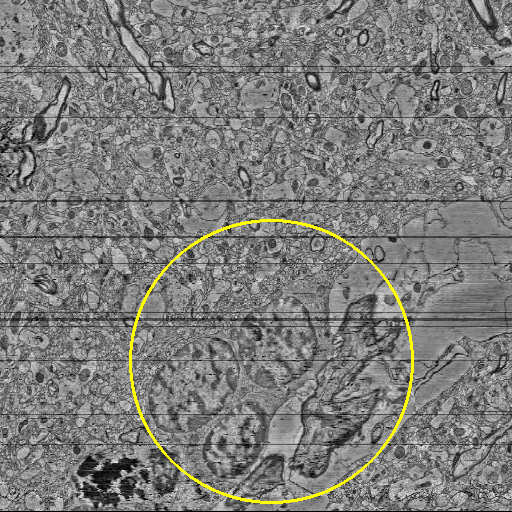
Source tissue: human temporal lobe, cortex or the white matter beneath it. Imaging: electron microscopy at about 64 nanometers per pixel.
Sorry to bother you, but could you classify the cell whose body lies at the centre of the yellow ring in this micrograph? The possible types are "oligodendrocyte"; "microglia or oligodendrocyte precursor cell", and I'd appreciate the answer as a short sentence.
The ringed cell body is that of an oligodendrocyte.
